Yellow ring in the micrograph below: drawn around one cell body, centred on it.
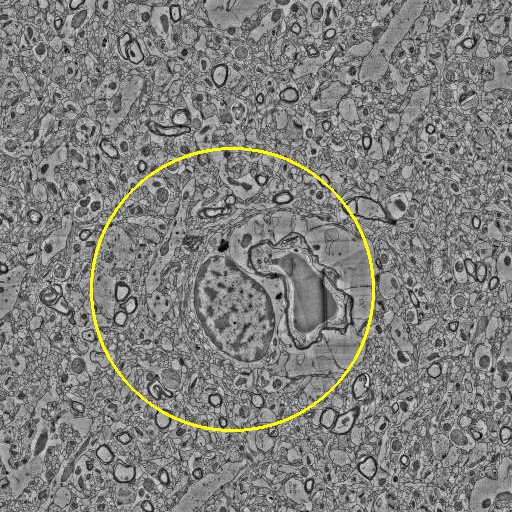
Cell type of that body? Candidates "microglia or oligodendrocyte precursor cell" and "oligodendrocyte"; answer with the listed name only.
microglia or oligodendrocyte precursor cell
